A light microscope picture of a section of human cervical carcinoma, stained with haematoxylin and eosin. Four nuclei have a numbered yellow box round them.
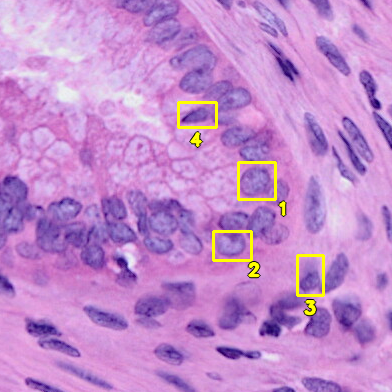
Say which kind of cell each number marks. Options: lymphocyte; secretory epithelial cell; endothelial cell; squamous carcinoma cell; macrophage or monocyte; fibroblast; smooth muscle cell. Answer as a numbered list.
1. secretory epithelial cell
2. secretory epithelial cell
3. fibroblast
4. secretory epithelial cell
